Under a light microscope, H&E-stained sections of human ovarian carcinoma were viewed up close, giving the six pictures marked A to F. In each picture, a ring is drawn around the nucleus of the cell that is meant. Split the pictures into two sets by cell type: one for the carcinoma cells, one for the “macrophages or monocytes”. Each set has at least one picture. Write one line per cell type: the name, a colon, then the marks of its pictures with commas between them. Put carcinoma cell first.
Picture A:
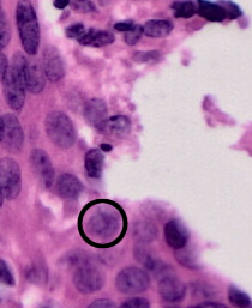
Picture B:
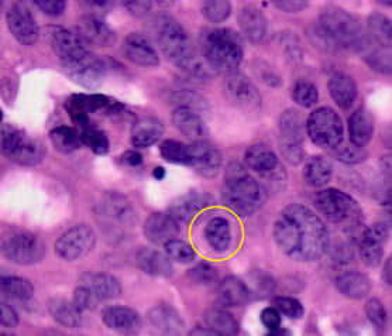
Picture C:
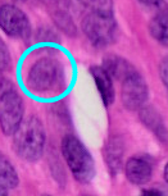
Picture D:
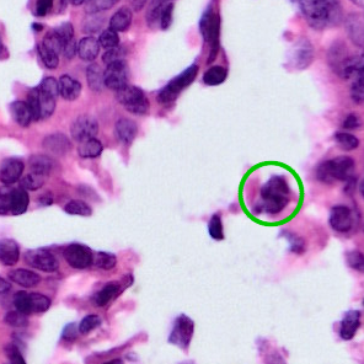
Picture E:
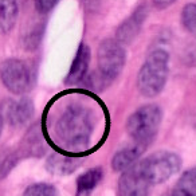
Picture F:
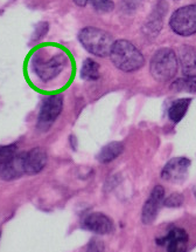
carcinoma cell: A, C, E
macrophage or monocyte: B, D, F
